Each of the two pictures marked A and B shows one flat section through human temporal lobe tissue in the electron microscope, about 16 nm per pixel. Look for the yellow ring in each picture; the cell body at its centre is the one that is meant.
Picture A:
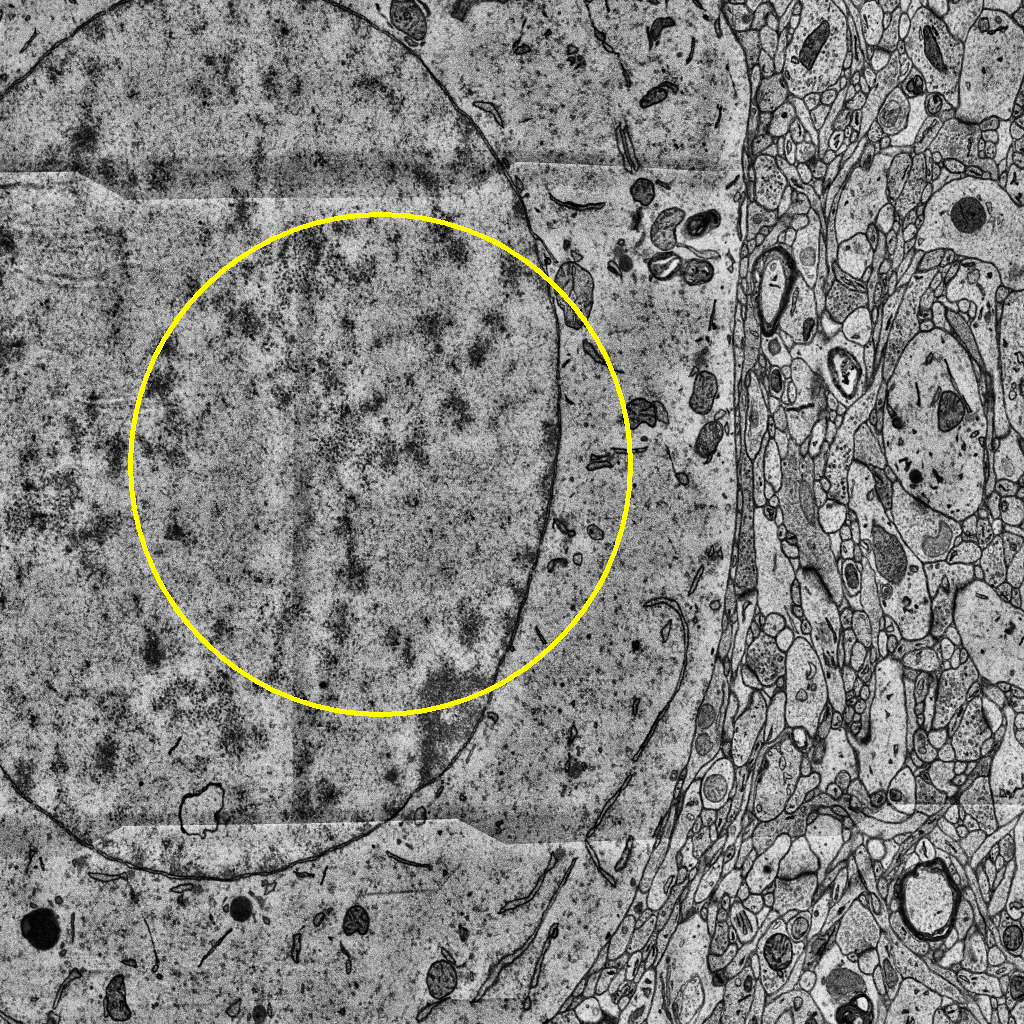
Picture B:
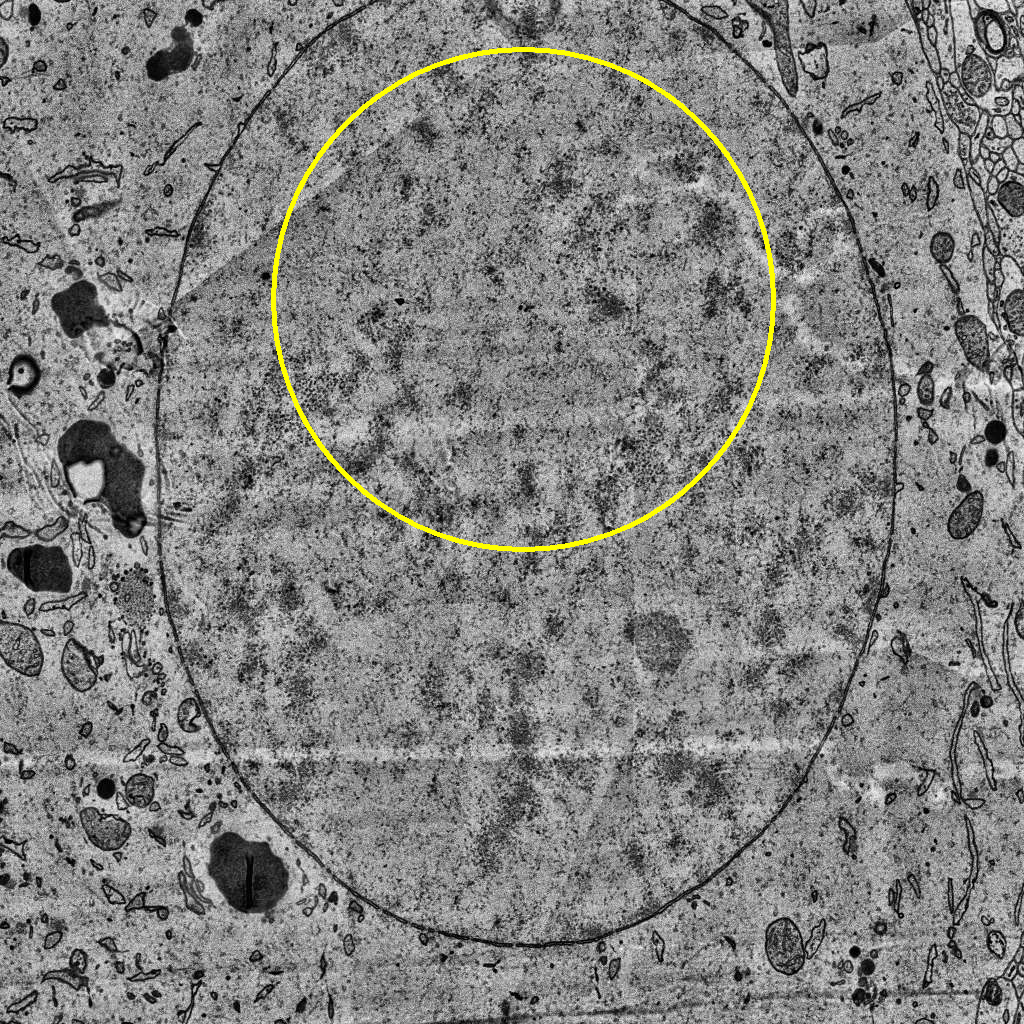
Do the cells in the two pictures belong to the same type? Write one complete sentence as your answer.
Yes; the cells in both pictures are pyramidal neurons.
